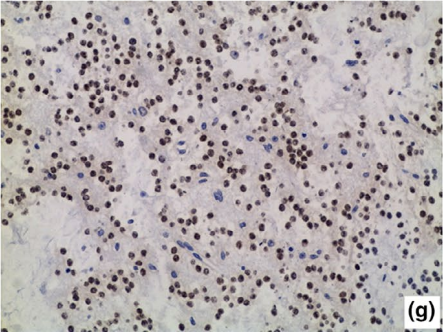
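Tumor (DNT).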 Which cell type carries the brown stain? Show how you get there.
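Oligodendrocyte-like cells. Many small round nuclei stained dark brown. Nuclei are uniform, round and densely scattered in a pale matrix.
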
